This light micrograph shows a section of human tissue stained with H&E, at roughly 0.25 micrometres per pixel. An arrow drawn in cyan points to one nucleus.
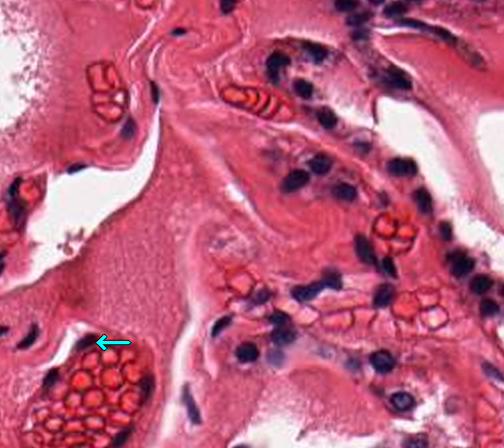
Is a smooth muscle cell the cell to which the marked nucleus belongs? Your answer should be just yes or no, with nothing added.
no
